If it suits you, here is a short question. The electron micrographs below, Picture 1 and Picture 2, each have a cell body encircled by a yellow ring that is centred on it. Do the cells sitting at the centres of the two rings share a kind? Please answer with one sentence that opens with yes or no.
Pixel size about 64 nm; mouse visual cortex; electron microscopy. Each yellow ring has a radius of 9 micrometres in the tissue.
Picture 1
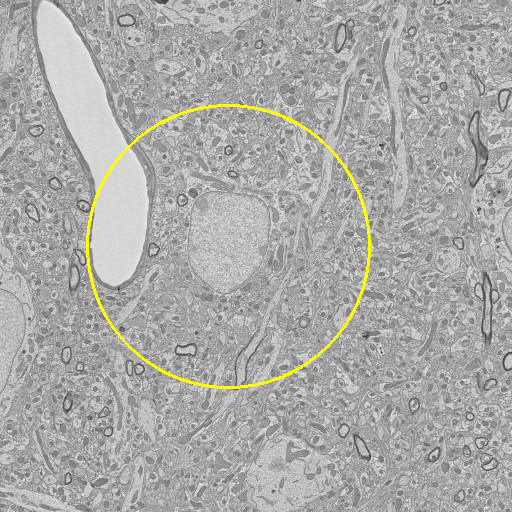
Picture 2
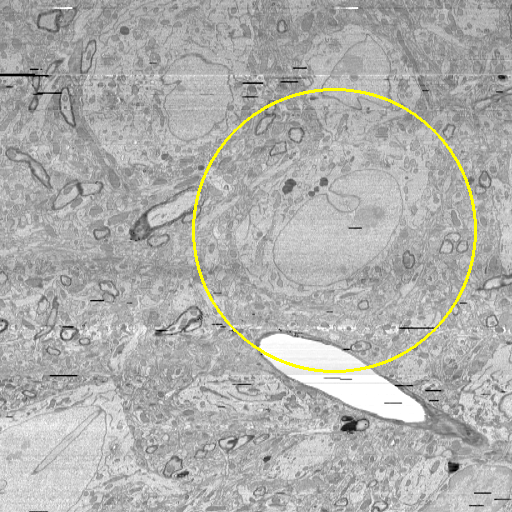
No, the two cells sitting at the ring centres fall into two kinds.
